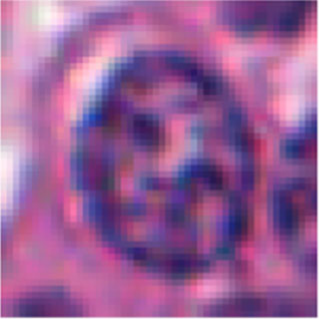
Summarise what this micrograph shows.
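The nucleus is round and fills the middle of the field, outlined by a dark purple rim. Inside it the chromatin is arranged in coarse dark clumps separated by paler spaces. The surrounding cytoplasm is pale pink, and the edges of neighbouring dark nuclei can be seen at the corners of the field.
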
